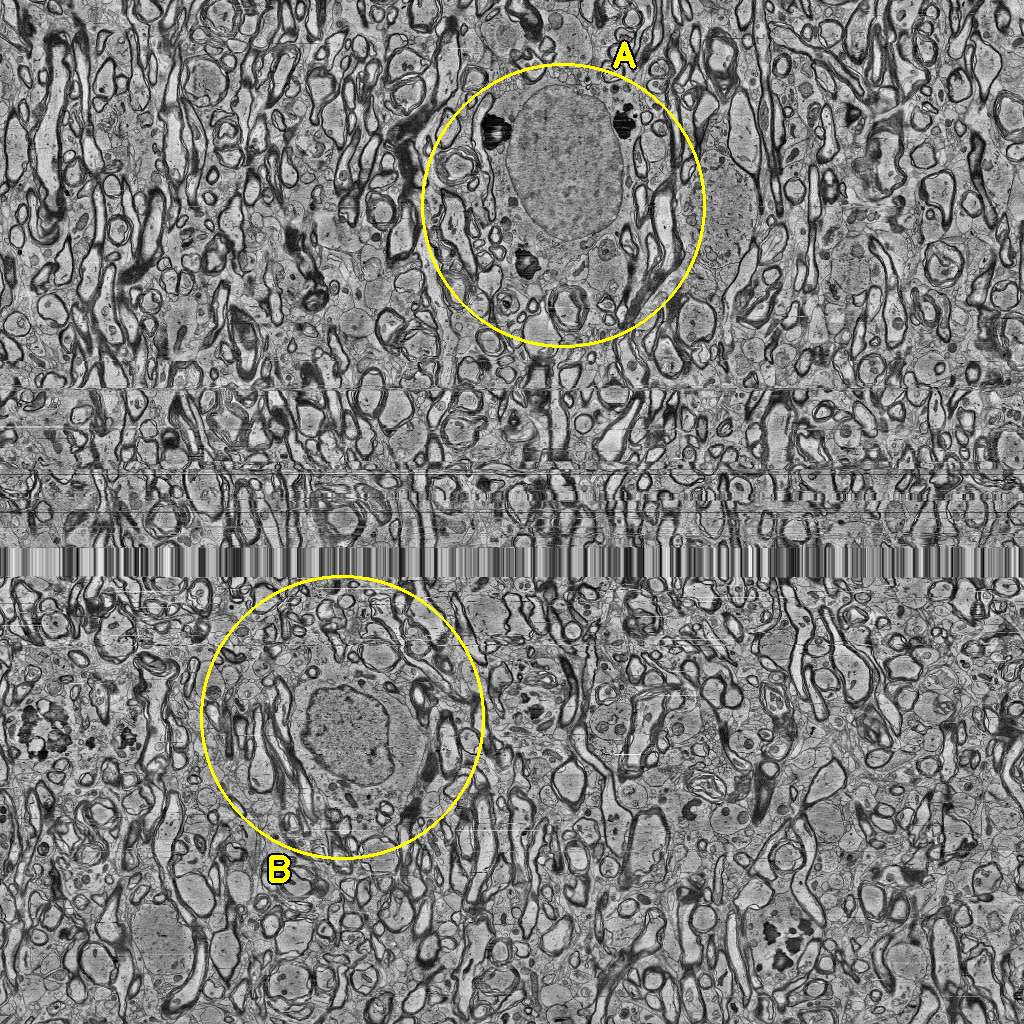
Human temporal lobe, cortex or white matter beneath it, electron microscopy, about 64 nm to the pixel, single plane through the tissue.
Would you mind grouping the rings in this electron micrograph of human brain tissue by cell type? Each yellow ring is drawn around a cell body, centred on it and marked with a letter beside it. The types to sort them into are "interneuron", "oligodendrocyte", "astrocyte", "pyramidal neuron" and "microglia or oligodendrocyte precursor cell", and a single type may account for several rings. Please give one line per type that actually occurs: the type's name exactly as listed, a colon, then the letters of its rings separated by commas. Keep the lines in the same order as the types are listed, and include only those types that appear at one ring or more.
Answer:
oligodendrocyte: A
astrocyte: B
